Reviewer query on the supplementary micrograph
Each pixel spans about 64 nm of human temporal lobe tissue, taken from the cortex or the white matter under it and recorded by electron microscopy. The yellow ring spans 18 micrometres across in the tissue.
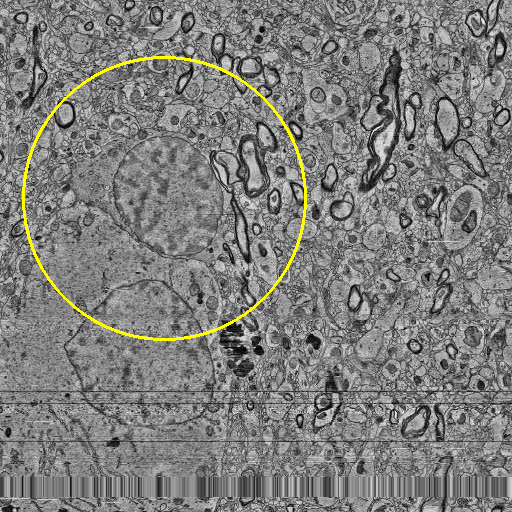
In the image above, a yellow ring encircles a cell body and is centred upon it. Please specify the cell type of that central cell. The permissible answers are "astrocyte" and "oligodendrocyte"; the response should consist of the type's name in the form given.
oligodendrocyte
